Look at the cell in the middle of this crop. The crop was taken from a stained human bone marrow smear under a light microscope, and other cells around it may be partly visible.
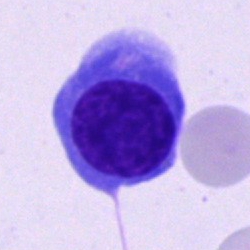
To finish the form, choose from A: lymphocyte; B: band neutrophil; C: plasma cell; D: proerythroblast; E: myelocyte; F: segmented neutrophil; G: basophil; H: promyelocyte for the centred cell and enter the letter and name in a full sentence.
Option C is correct; the cell in the middle is a plasma cell.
